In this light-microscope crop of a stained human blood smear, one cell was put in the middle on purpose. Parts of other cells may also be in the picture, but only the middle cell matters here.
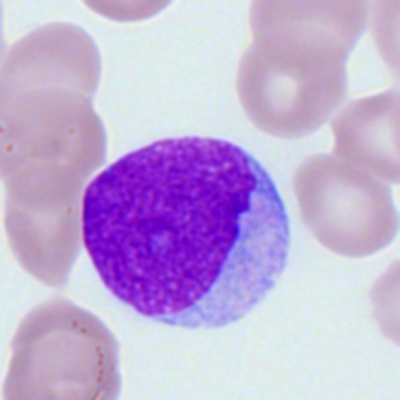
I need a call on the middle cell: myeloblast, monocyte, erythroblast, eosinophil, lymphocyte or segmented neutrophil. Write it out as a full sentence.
The cell in the exact centre of the crop is a myeloblast.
